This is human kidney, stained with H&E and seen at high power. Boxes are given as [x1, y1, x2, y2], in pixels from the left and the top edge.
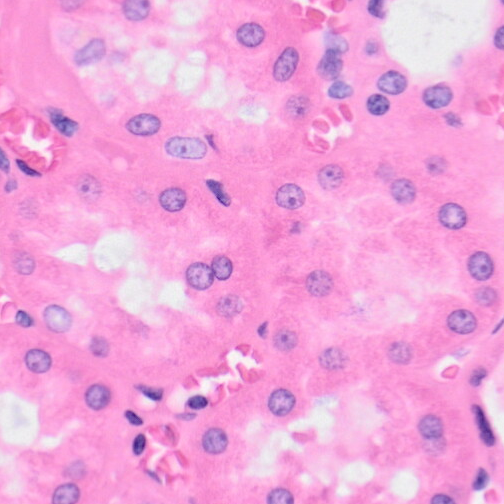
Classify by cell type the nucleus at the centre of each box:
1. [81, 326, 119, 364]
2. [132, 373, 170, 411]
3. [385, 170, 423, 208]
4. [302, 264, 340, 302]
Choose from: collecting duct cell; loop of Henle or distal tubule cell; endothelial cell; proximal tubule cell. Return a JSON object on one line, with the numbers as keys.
{"1": "proximal tubule cell", "2": "endothelial cell", "3": "proximal tubule cell", "4": "proximal tubule cell"}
